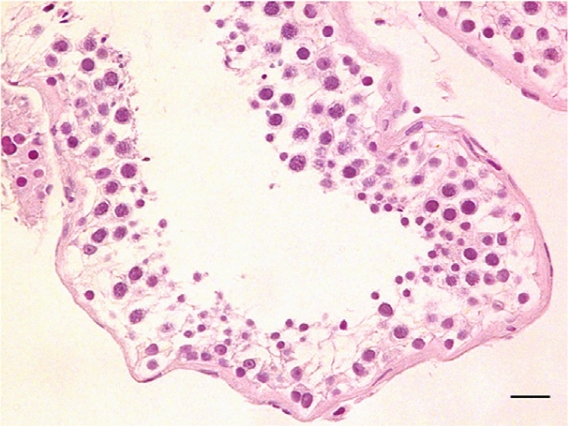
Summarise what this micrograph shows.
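A cross-section of a seminiferous tubule shows a thin pink basal wall curving around a wide, empty central lumen. Several layers of rounded cells line the wall and are packed from the base toward the lumen. Many of these cells have large, round nuclei that stain deep purple with a granular texture. Smaller round cells with compact dark nuclei lie closer to the lumen. Pale, wispy pink cytoplasm fills the spaces between the cells. Parts of neighbouring tubules with similar layered linings are cut at the edges of the field. Little interstitial tissue lies between the tubules.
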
